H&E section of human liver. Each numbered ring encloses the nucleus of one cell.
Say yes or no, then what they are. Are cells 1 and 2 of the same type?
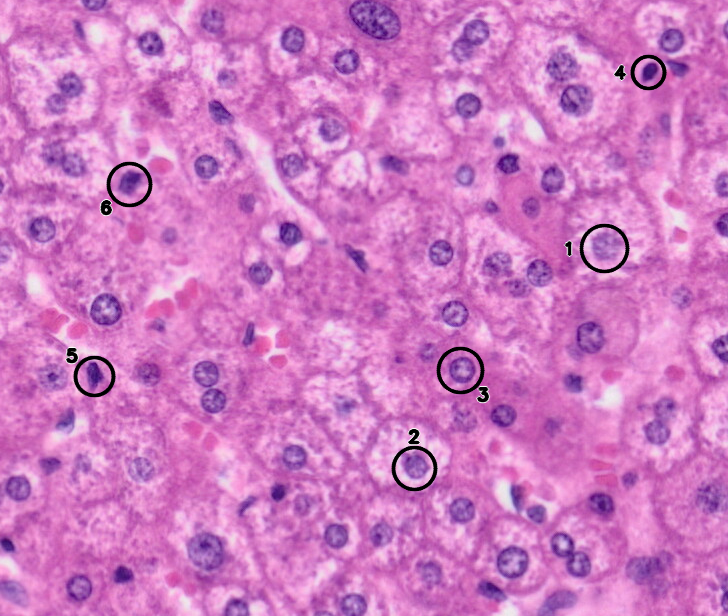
Yes, both are hepatocytes.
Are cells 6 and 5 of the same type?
Yes, both are fibroblasts or stellate cells.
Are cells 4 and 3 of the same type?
No, cell 4 is a lymphocyte and cell 3 is a hepatocyte.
